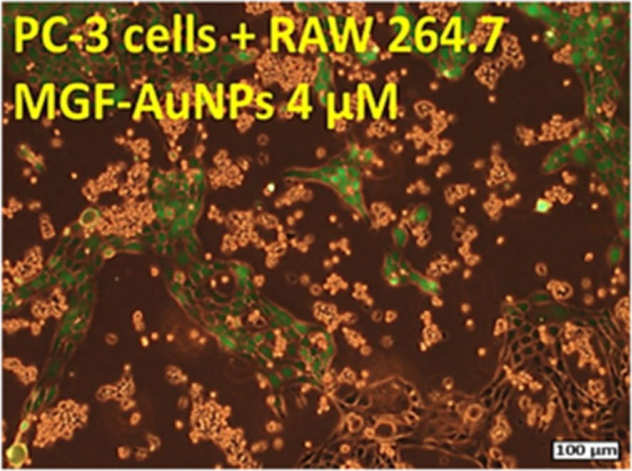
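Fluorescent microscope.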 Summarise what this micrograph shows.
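The green cells are polygonal to elongated with clear outlines and lie in sparse strands and small sheets, leaving wide dark areas of the dish uncovered. The small round cells appear phase-bright orange and are scattered singly or gathered in loose clusters, lying both on the empty areas and over the green cells.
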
